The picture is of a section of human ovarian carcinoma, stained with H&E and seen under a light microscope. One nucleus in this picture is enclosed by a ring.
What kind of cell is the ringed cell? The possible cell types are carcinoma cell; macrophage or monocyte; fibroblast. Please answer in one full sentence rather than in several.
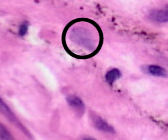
Cell type answer for this item: the ringed cell is a fibroblast.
